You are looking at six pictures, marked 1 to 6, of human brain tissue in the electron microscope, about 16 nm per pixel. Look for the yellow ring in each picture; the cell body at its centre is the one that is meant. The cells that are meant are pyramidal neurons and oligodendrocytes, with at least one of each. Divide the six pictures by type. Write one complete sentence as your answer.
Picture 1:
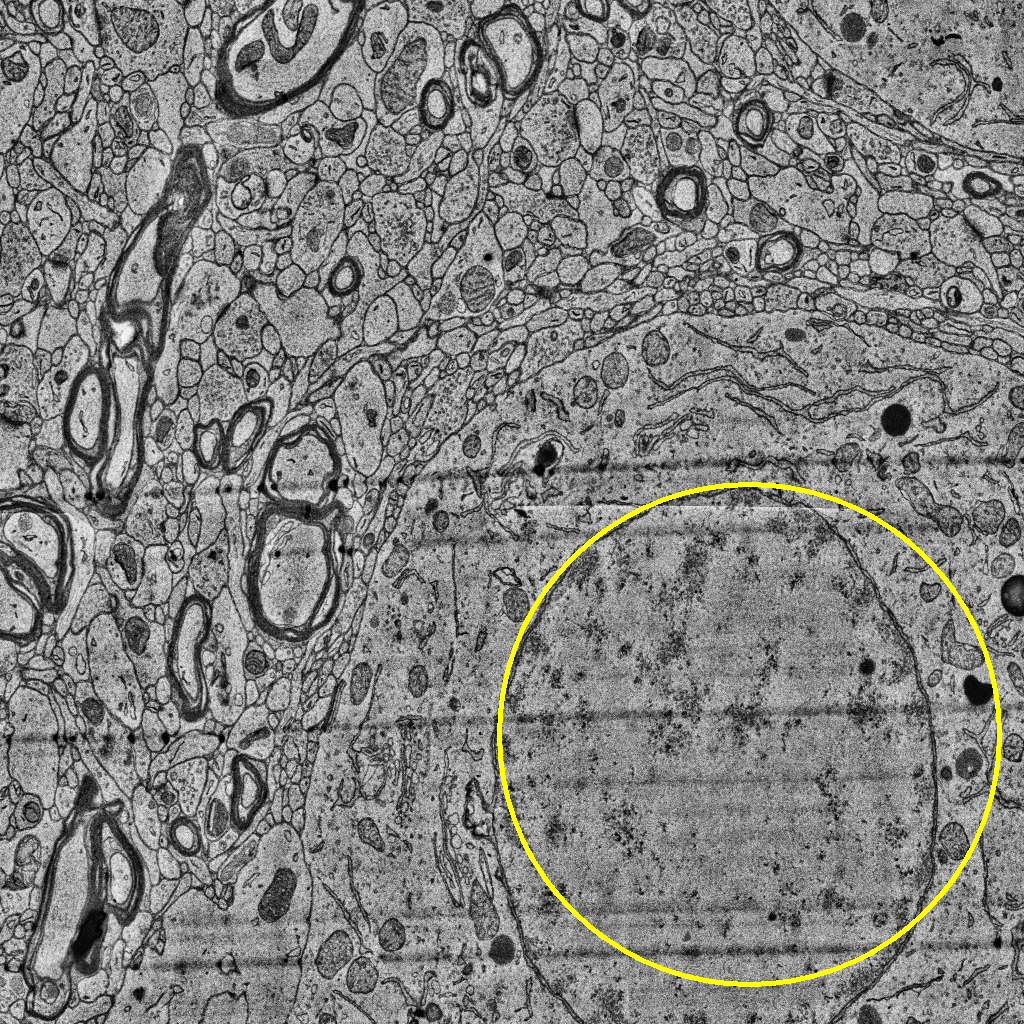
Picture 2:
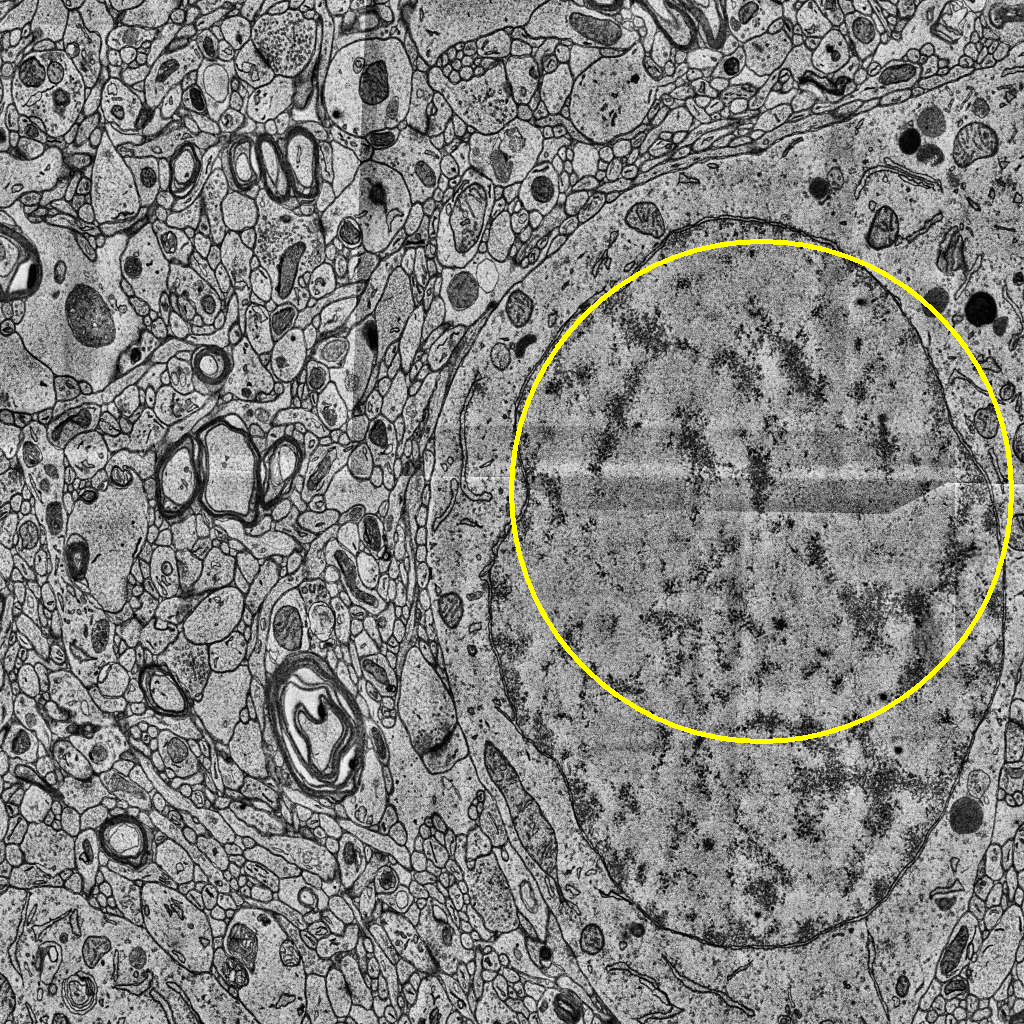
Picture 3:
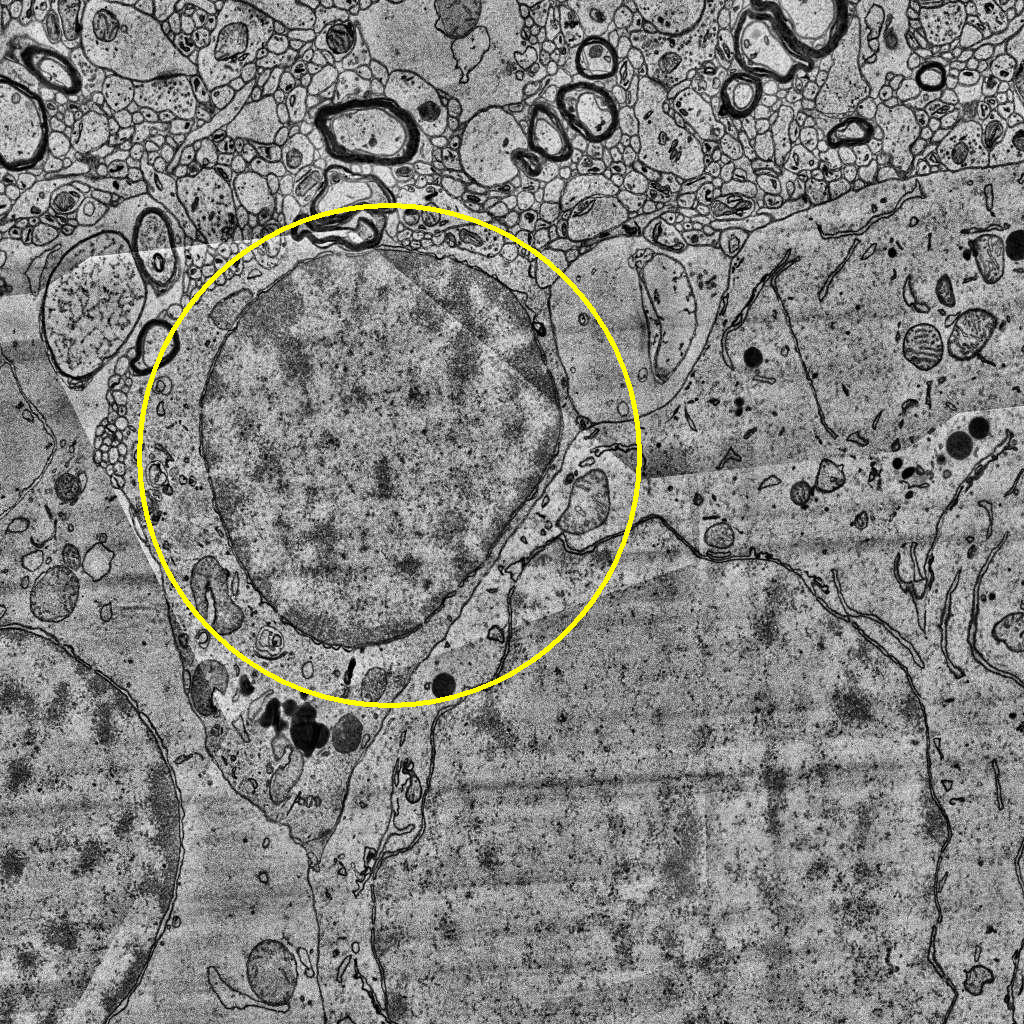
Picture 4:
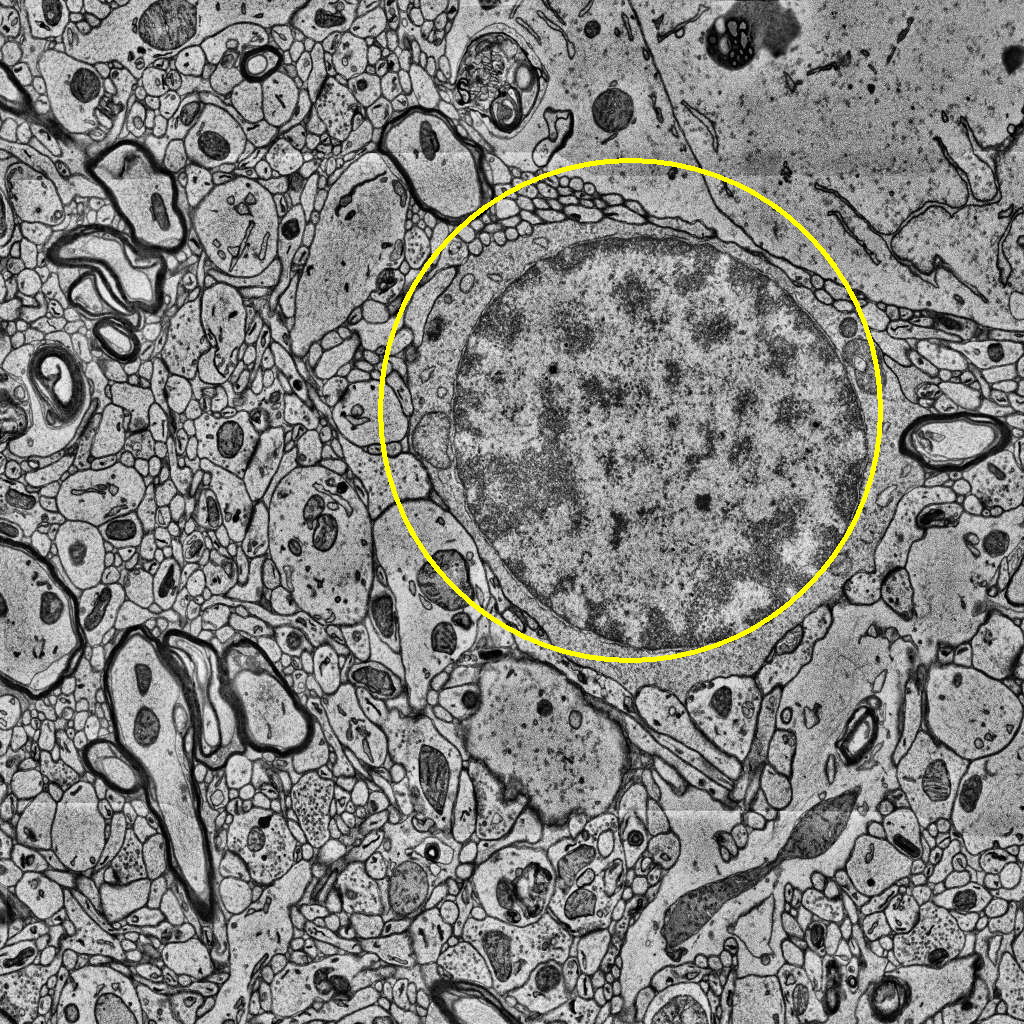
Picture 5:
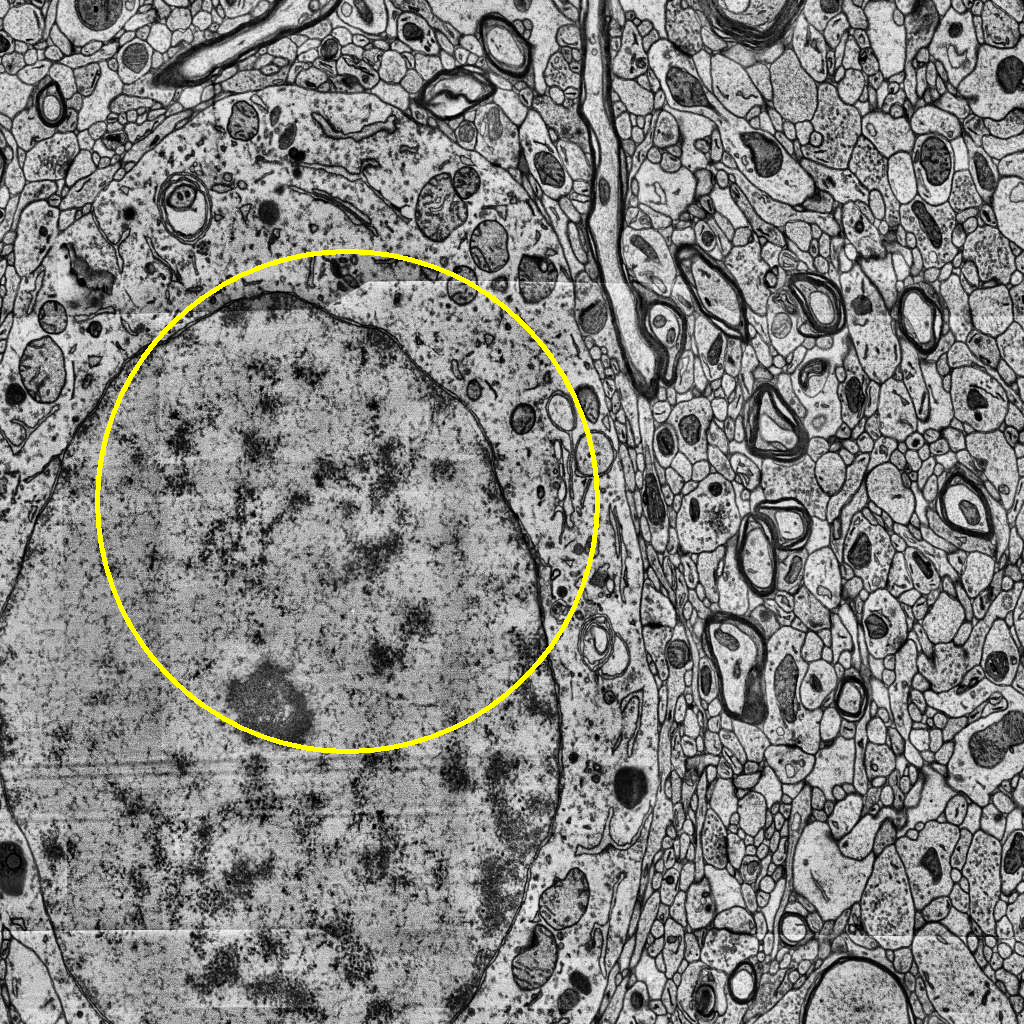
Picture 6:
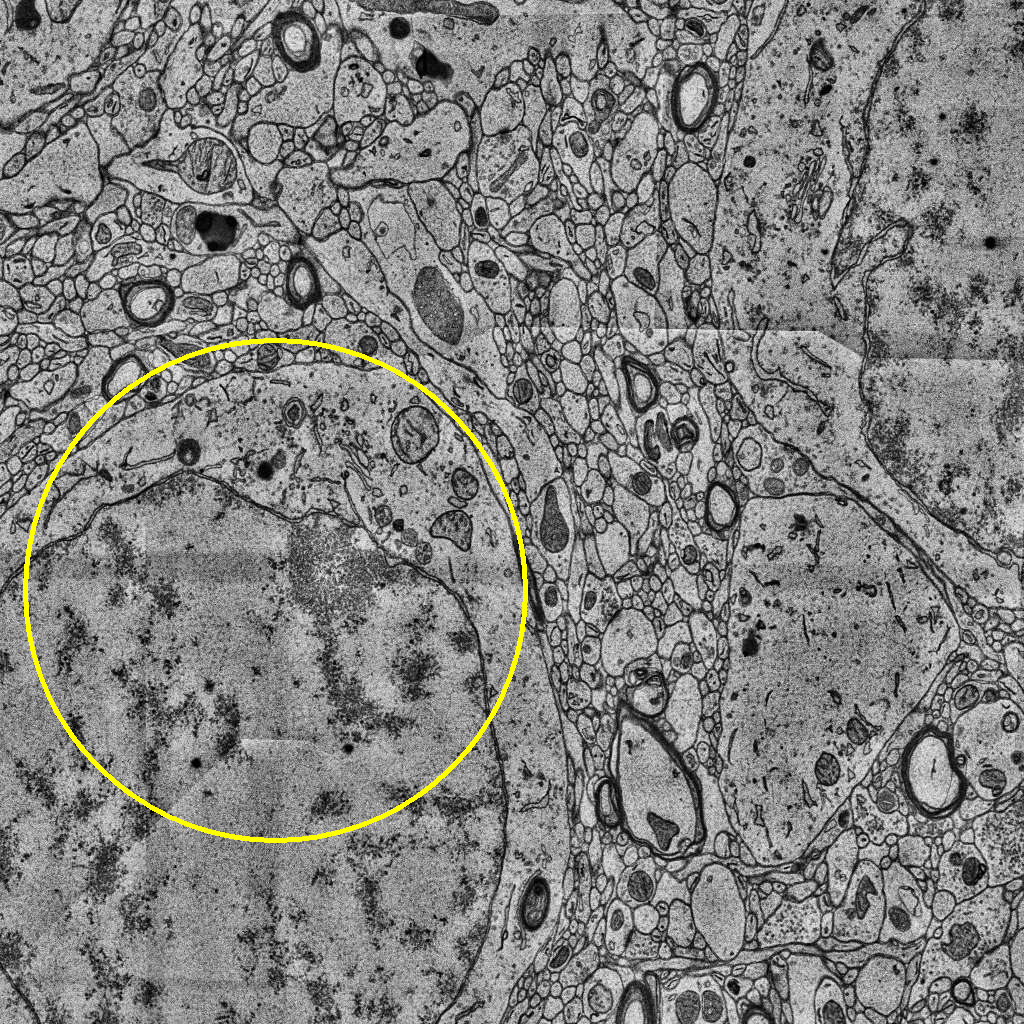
Pictures 1, 2, 5 and 6 show pyramidal neurons; pictures 3 and 4 show oligodendrocytes.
